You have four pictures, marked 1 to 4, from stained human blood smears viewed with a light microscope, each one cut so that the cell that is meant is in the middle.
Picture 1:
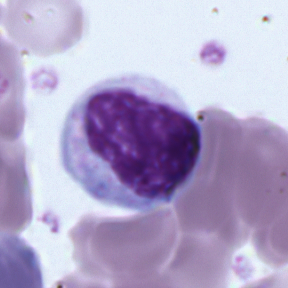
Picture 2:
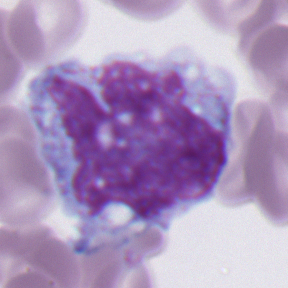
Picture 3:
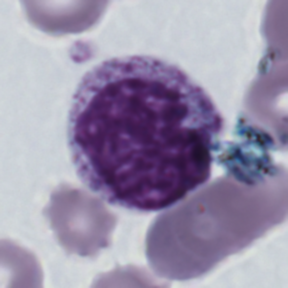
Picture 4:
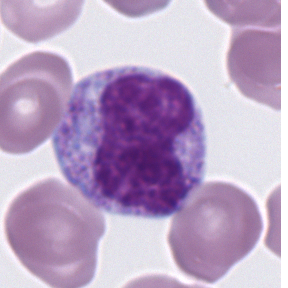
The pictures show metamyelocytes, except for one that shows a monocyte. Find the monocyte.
2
